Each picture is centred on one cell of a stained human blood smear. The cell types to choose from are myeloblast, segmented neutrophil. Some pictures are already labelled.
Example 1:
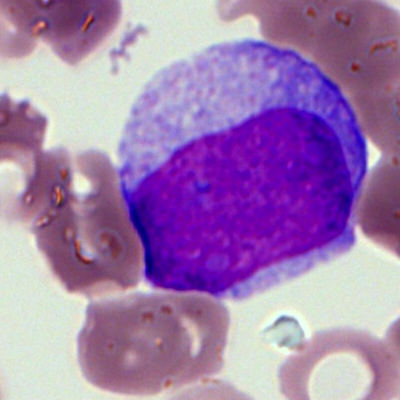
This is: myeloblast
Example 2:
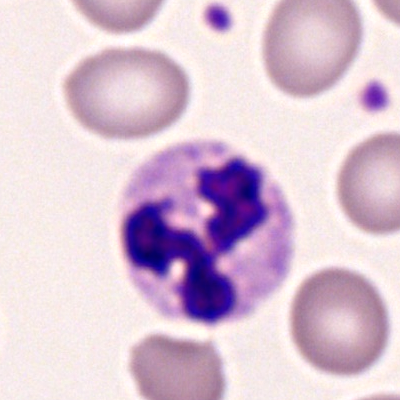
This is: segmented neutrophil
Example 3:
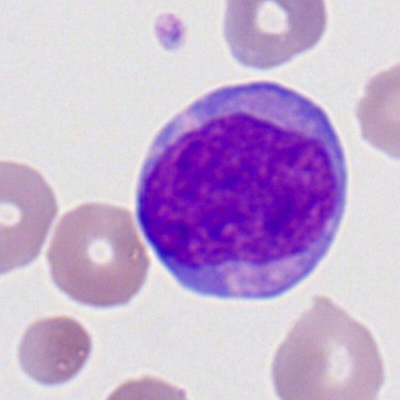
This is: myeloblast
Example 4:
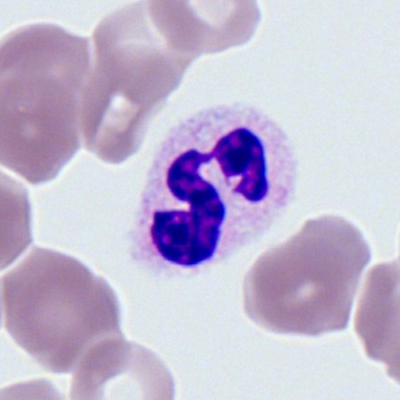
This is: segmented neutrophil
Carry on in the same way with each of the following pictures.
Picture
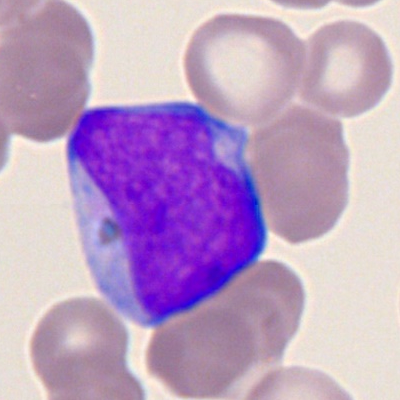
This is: myeloblast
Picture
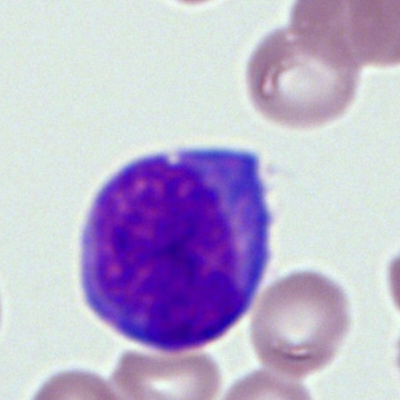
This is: myeloblast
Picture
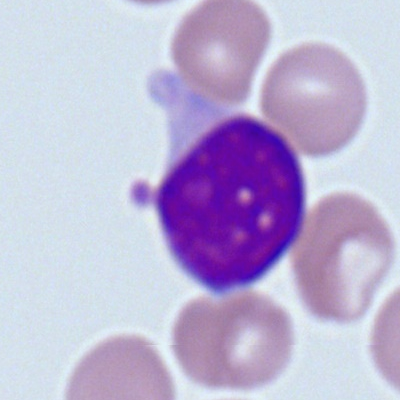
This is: myeloblast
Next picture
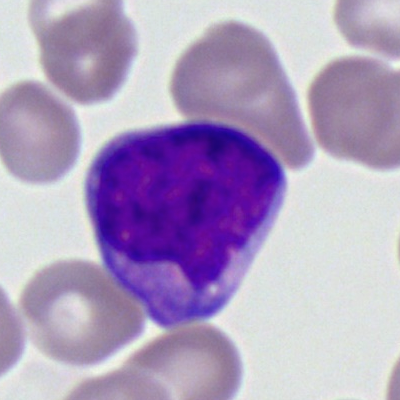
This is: myeloblast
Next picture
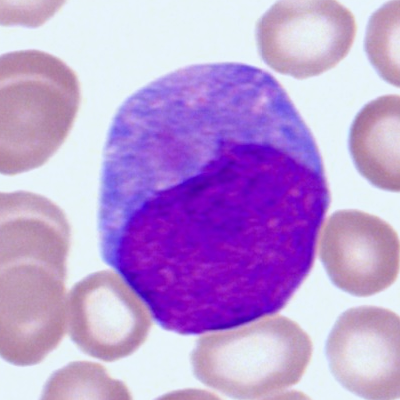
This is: myeloblast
